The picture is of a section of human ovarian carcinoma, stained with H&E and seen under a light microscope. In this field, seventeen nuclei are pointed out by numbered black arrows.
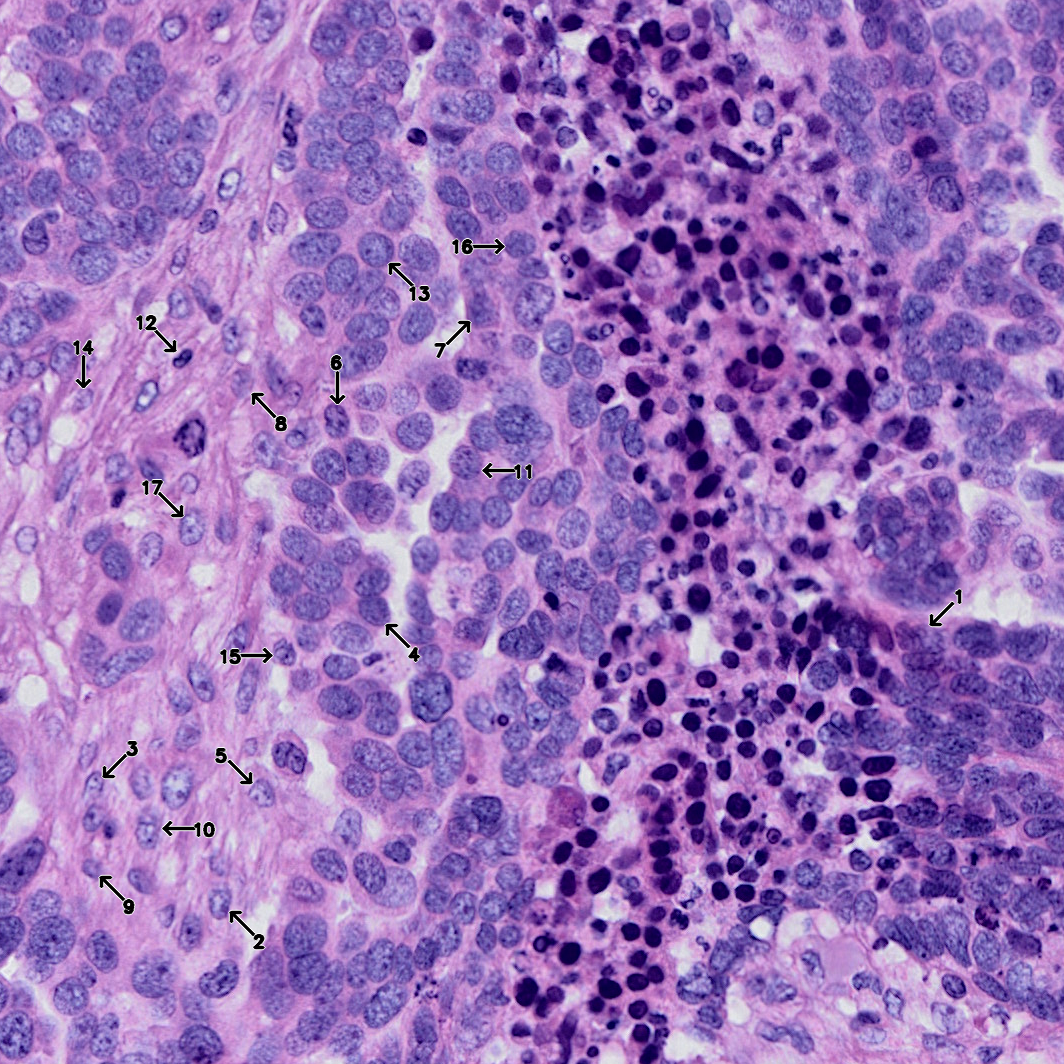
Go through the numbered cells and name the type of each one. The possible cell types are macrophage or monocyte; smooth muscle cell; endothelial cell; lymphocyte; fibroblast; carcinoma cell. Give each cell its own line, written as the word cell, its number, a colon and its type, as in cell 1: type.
cell 1: carcinoma cell
cell 2: fibroblast
cell 3: fibroblast
cell 4: carcinoma cell
cell 5: fibroblast
cell 6: macrophage or monocyte
cell 7: carcinoma cell
cell 8: fibroblast
cell 9: fibroblast
cell 10: fibroblast
cell 11: carcinoma cell
cell 12: lymphocyte
cell 13: carcinoma cell
cell 14: fibroblast
cell 15: macrophage or monocyte
cell 16: carcinoma cell
cell 17: fibroblast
